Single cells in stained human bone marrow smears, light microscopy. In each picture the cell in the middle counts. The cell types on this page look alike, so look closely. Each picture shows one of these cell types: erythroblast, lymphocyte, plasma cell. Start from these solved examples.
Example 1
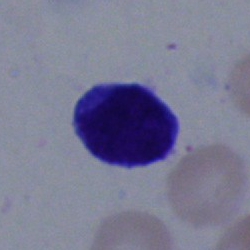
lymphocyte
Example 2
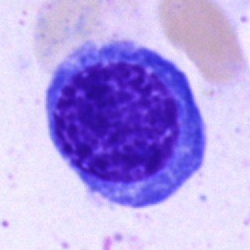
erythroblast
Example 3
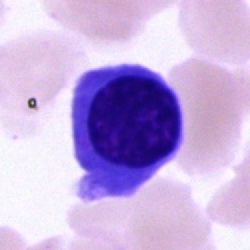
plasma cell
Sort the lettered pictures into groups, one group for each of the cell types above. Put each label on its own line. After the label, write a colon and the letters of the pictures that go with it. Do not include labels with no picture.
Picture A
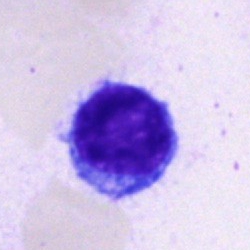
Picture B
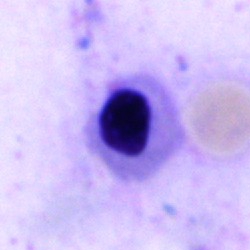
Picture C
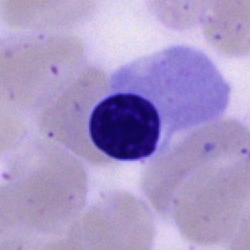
erythroblast: B, C
lymphocyte: A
